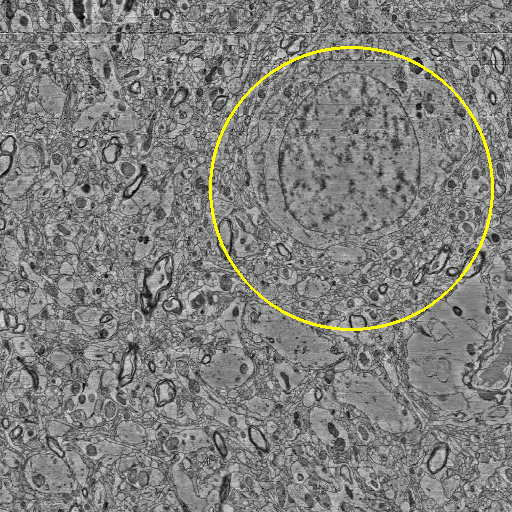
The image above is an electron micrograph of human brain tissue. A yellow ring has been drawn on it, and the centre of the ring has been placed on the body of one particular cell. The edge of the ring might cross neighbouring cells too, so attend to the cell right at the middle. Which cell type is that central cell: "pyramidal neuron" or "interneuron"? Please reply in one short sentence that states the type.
The central cell in the ring is a pyramidal neuron.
